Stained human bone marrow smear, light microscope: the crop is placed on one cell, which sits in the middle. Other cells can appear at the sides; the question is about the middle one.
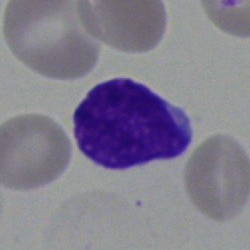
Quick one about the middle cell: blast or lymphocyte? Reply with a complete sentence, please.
Seen at the centre of the crop is a lymphocyte.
